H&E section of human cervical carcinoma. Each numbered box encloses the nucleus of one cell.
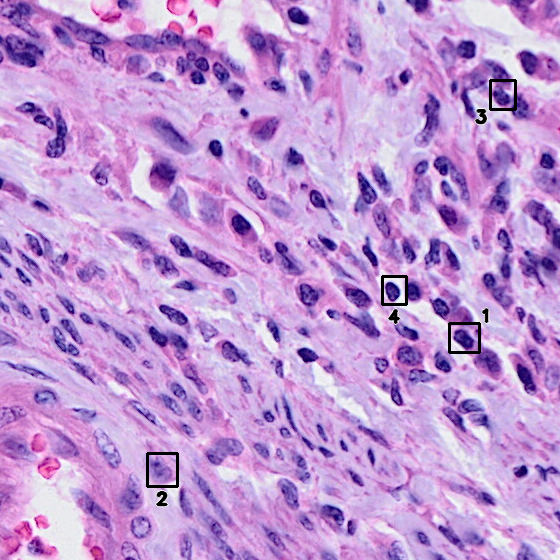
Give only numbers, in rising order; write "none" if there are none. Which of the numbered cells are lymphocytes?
1, 3, 4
